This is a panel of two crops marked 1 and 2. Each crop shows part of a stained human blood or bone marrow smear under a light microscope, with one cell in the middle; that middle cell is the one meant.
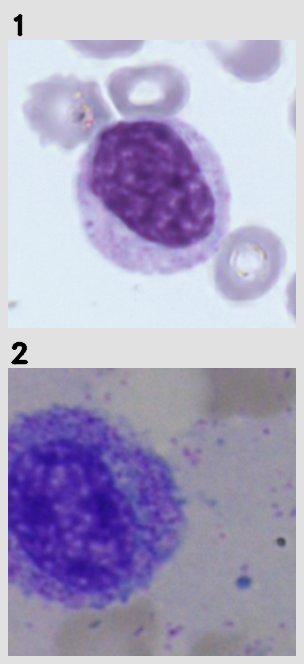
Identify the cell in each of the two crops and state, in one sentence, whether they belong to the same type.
No, crop 1 is the one with a metamyelocyte; crop 2 has a myelocyte.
